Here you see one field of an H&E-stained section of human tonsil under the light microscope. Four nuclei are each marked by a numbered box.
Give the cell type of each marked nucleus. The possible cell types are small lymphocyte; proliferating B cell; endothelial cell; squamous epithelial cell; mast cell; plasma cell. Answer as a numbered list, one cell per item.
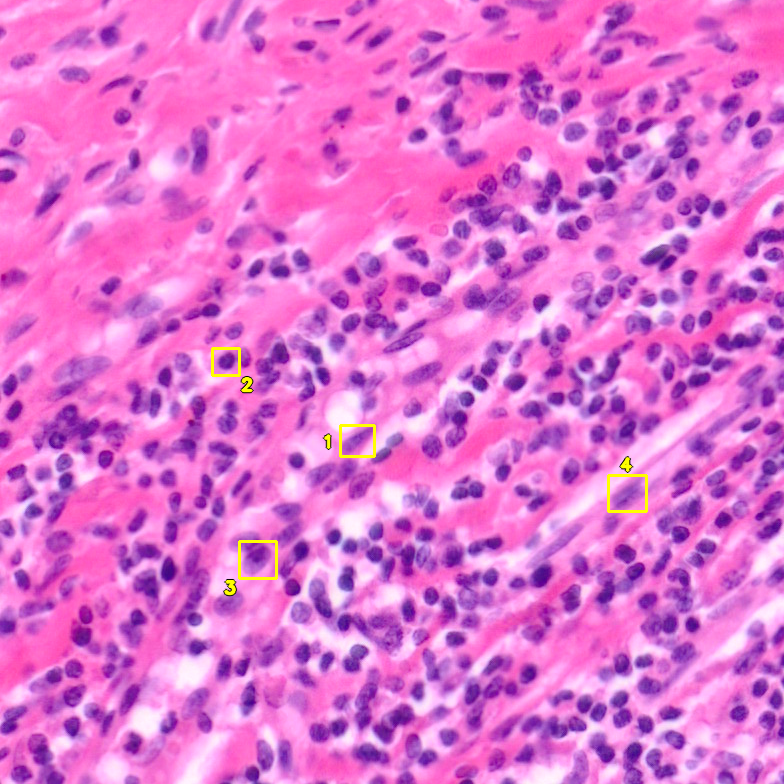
1. endothelial cell
2. plasma cell
3. endothelial cell
4. endothelial cell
